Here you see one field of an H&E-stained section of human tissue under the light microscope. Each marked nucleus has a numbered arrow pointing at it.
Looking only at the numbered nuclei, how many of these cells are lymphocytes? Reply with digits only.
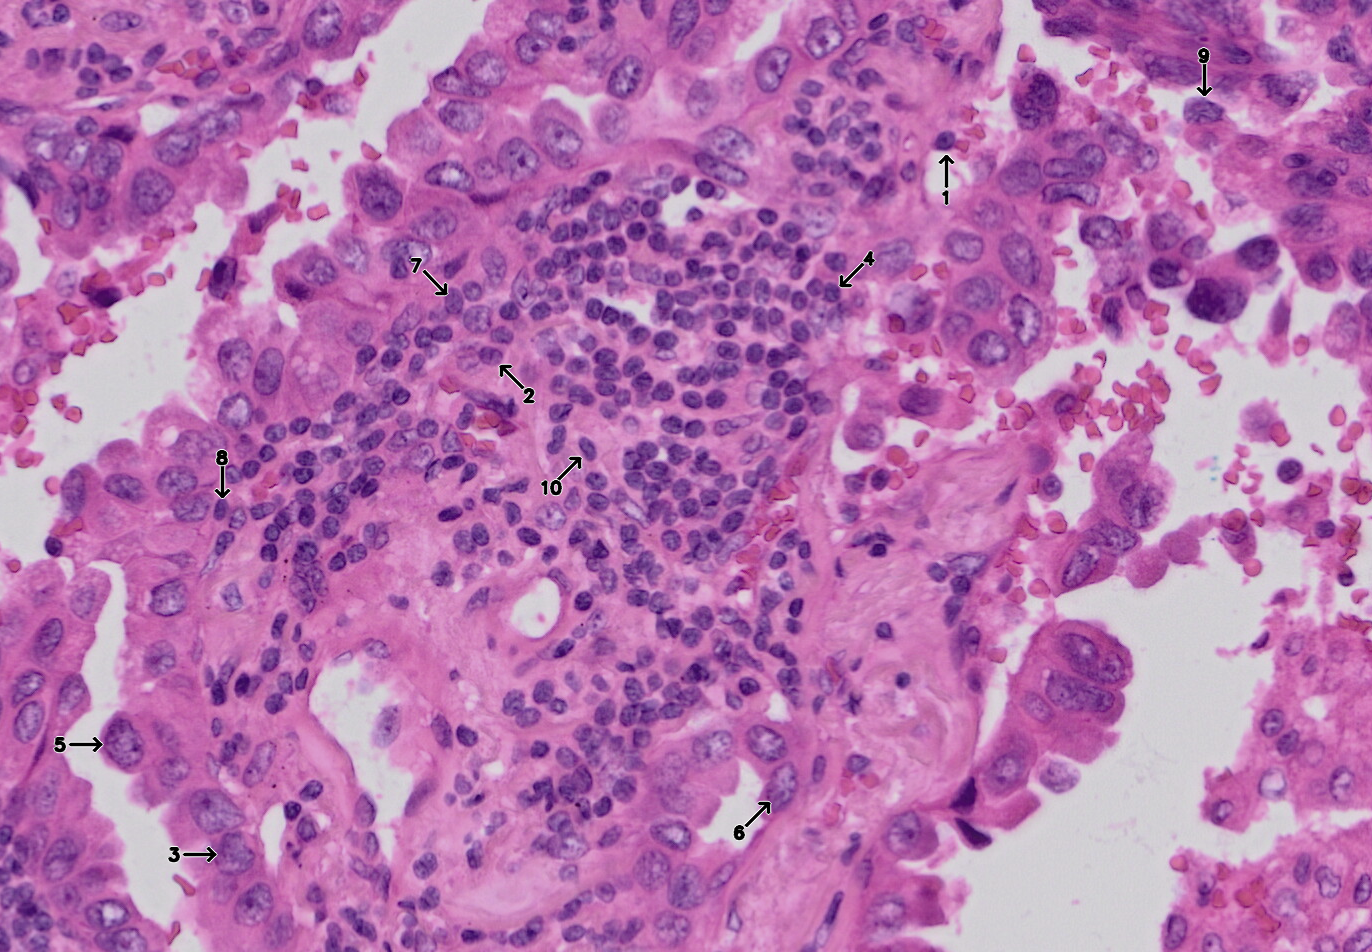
6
